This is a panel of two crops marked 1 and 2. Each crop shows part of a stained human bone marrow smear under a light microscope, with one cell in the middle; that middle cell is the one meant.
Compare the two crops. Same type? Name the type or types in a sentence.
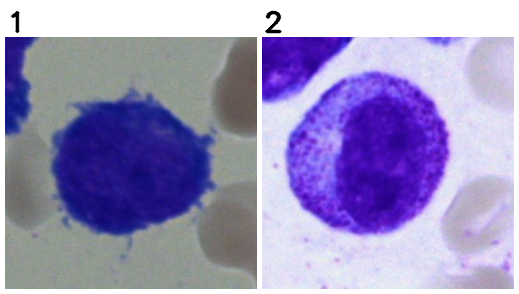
No, a myelocyte is depicted in crop 2, whereas a blast is depicted in crop 1.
